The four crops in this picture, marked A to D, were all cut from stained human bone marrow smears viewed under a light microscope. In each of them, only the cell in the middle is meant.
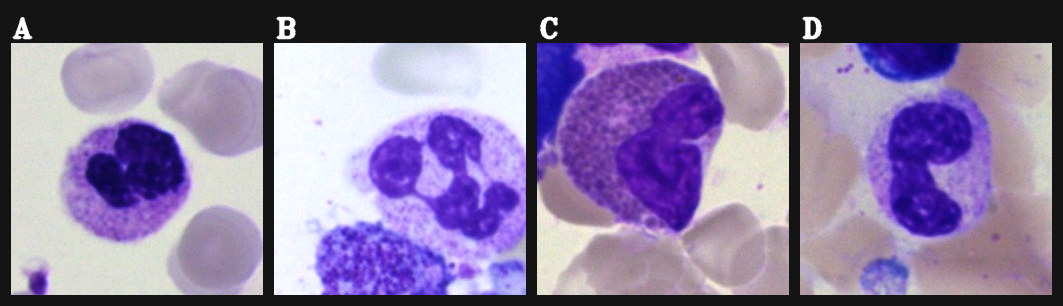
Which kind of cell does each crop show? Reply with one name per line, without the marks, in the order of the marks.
segmented neutrophil
segmented neutrophil
eosinophil
band neutrophil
